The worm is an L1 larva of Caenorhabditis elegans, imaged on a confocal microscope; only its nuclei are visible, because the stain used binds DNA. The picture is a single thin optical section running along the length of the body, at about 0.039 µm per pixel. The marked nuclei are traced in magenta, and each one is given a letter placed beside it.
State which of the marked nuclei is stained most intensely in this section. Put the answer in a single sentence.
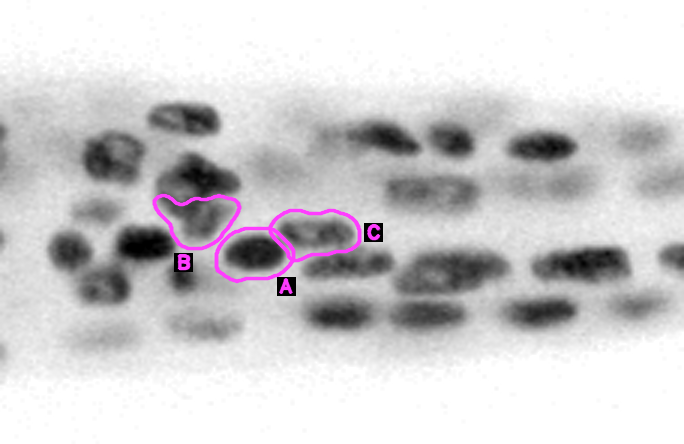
Nucleus A shows the strongest staining.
